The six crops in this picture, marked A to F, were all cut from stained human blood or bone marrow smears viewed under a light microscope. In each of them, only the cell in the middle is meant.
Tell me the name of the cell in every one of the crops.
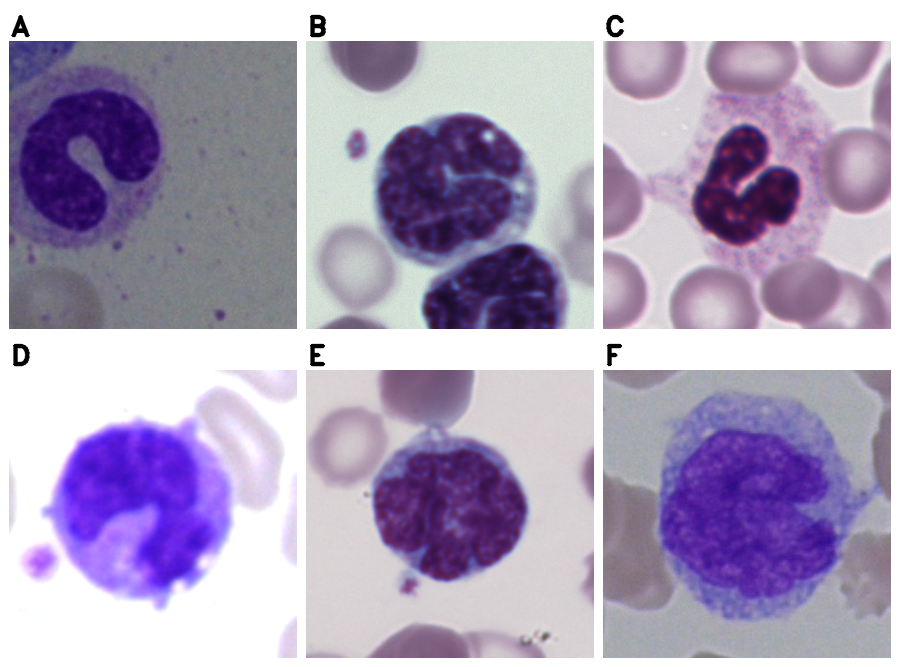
A: band neutrophil
B: monocyte
C: segmented neutrophil
D: monocyte
E: monocyte
F: monocyte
